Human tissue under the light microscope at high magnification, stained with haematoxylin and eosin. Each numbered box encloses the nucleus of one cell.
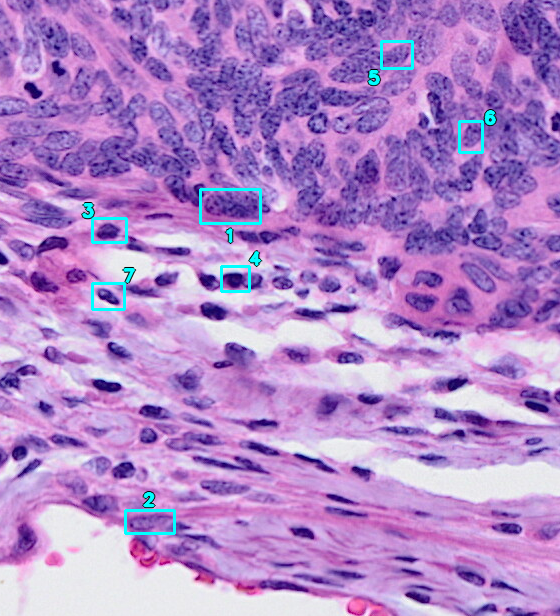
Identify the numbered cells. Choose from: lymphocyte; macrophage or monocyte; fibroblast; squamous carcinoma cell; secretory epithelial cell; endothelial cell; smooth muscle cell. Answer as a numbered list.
1. squamous carcinoma cell
2. endothelial cell
3. lymphocyte
4. lymphocyte
5. squamous carcinoma cell
6. squamous carcinoma cell
7. lymphocyte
